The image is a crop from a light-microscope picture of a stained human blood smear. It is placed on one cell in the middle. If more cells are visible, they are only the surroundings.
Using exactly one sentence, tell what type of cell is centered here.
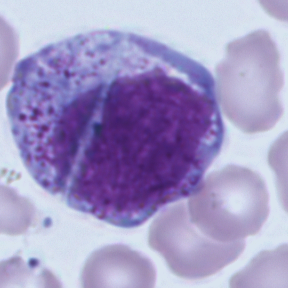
Standing at the centre of this crop is a promyelocyte.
